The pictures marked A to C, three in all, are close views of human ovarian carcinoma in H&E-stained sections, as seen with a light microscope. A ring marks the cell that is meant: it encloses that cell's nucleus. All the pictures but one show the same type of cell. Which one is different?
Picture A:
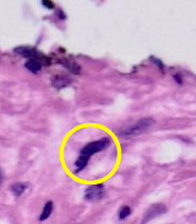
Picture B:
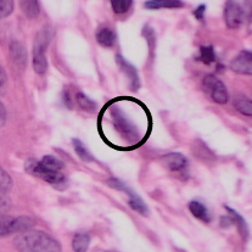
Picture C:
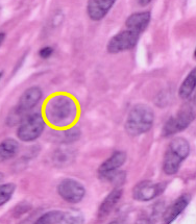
C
